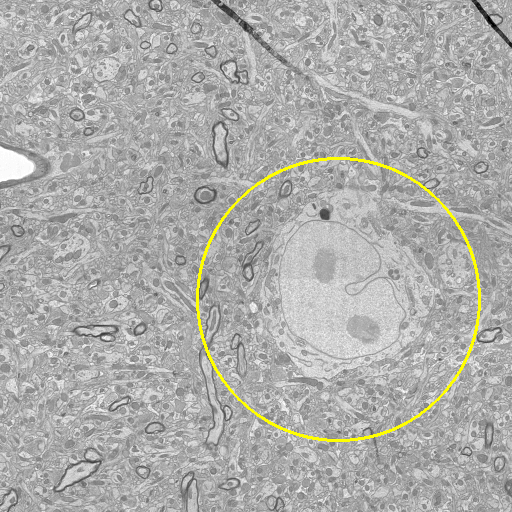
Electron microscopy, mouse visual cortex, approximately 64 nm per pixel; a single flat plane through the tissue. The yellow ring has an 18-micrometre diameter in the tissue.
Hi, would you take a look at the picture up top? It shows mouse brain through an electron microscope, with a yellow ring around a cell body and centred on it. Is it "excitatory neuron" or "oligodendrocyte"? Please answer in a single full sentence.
The best fit for the cell in the middle of the ring is an excitatory neuron, I reckon.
